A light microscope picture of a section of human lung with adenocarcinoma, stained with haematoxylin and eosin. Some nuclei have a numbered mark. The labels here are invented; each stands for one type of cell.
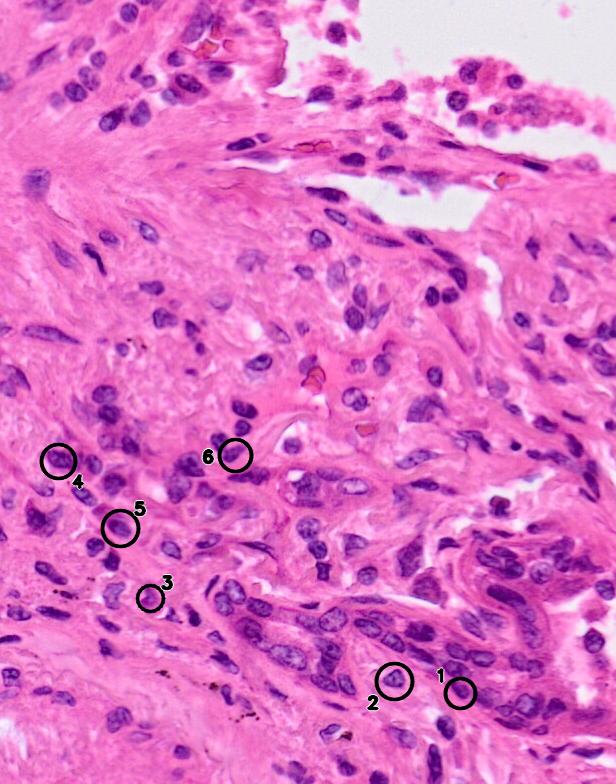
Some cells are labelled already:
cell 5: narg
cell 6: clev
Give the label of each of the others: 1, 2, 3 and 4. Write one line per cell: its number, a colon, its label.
1: clev
2: clev
3: narg
4: narg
